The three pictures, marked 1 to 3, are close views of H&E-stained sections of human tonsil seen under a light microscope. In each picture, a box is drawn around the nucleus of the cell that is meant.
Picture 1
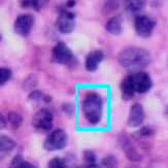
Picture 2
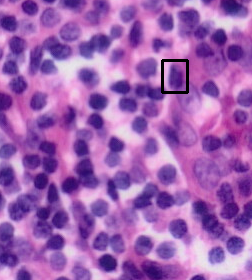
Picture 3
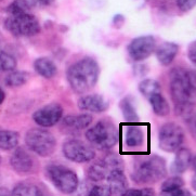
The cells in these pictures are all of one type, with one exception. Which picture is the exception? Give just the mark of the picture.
2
